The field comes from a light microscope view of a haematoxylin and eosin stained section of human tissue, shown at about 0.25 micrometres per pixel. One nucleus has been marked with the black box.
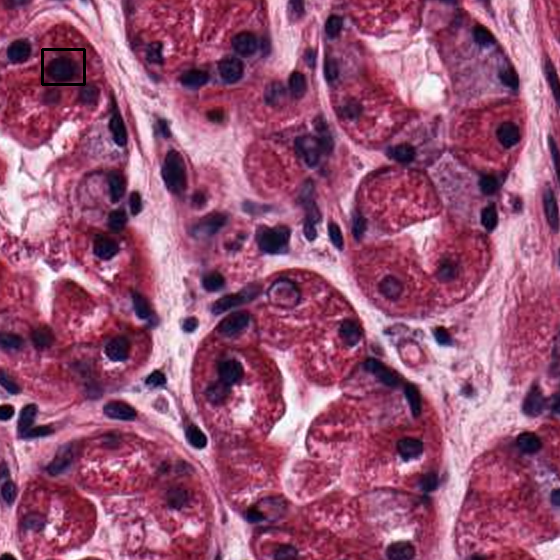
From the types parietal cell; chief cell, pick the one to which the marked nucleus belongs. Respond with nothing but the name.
parietal cell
